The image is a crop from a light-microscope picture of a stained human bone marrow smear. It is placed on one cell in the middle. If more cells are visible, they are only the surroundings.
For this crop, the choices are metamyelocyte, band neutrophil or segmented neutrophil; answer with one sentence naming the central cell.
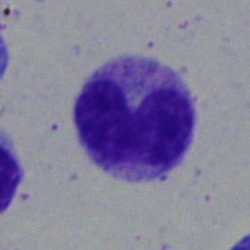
The identification for the central cell is a band neutrophil.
